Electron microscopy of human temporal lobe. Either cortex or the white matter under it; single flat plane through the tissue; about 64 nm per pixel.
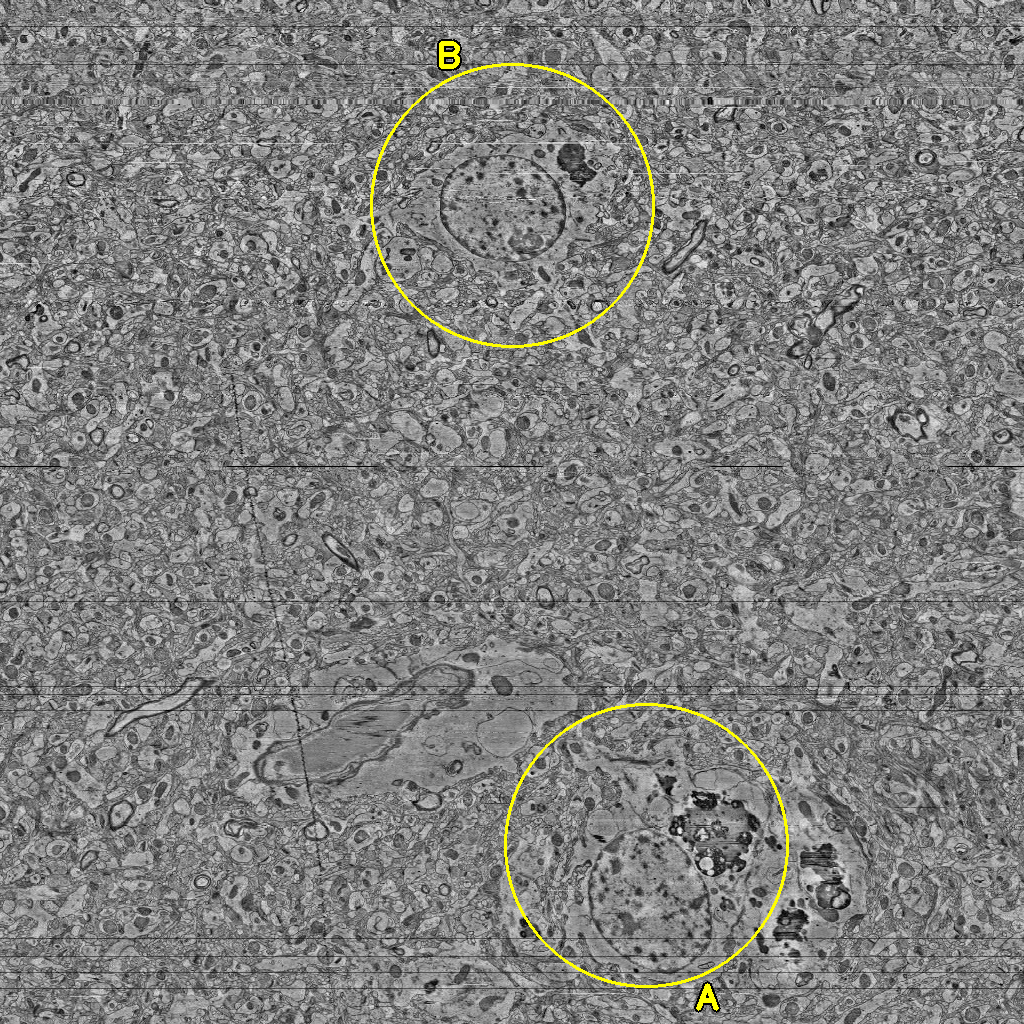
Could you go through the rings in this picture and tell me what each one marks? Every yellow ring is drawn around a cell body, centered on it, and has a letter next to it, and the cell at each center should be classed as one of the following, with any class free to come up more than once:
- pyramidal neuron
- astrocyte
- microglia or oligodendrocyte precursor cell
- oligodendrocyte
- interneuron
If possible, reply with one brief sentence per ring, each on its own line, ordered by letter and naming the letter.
The cell centered in ring A is an astrocyte.
The cell centered in ring B is an astrocyte.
